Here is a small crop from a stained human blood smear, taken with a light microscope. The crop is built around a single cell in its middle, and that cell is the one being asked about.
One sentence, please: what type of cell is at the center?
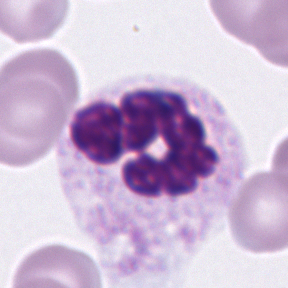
Looking at the middle of the crop, the cell there is a neutrophil.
